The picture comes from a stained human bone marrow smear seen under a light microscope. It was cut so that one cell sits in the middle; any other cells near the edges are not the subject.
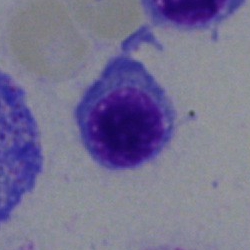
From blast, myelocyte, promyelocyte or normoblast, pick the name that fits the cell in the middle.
normoblast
